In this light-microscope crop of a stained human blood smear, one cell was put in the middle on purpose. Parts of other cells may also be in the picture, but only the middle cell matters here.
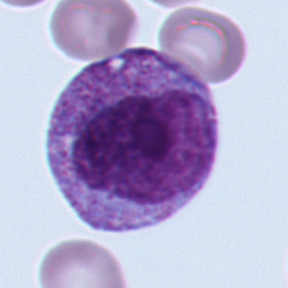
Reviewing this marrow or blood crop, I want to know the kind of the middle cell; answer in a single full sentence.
The central cell, amid any neighbouring cells, is an atypical promyelocyte.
